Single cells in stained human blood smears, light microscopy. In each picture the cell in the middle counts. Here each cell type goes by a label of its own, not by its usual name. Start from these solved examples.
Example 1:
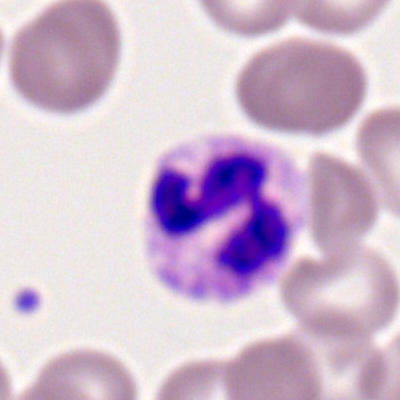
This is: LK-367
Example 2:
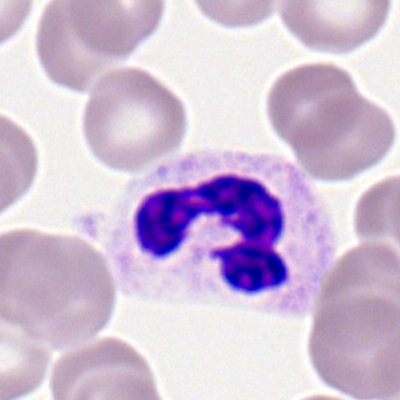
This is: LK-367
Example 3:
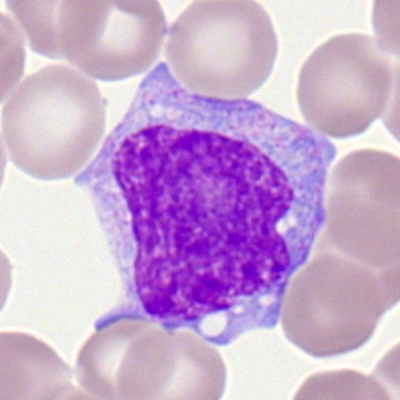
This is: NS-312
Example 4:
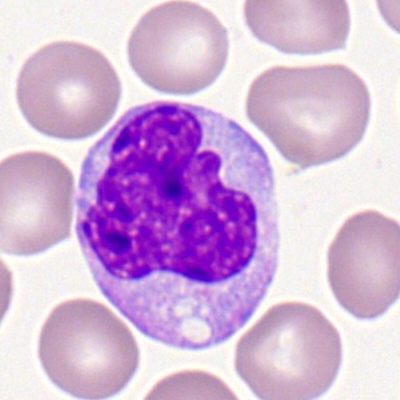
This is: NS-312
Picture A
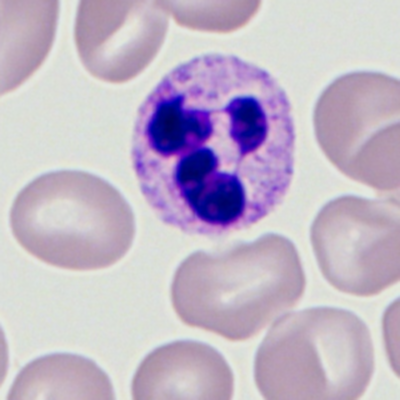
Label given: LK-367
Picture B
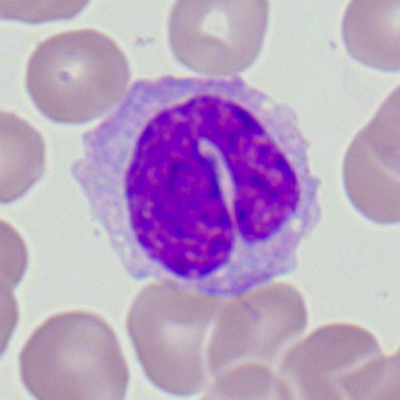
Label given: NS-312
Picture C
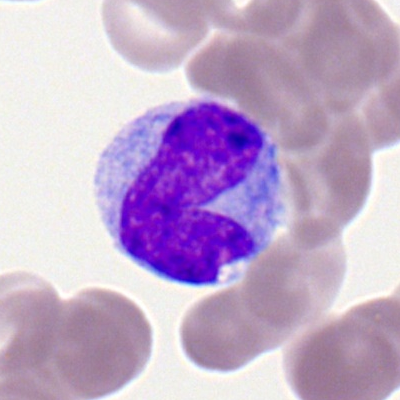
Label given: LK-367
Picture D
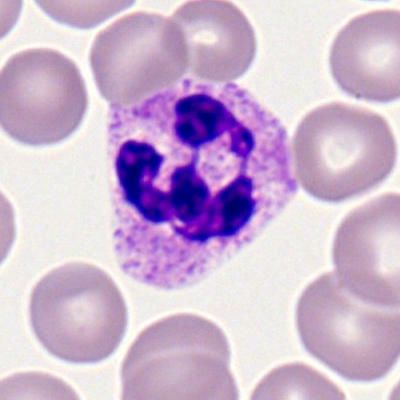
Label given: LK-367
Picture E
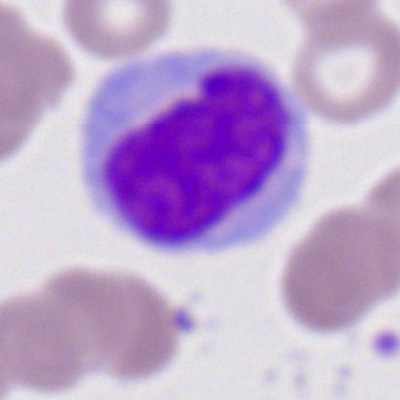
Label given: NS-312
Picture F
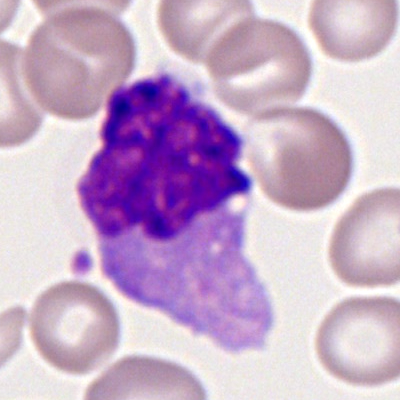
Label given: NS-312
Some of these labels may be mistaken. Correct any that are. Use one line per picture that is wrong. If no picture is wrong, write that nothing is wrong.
C: not LK-367 but NS-312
